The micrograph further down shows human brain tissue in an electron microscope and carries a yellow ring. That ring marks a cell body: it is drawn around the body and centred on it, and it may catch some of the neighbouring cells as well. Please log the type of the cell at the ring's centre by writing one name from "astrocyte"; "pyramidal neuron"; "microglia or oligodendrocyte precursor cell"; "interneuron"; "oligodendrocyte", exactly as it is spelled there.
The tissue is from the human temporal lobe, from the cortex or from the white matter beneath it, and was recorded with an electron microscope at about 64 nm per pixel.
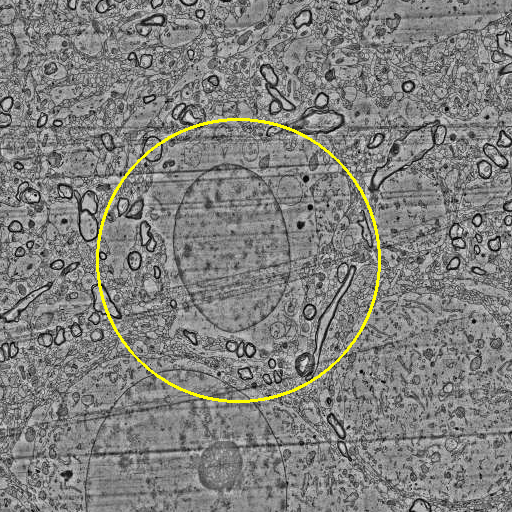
astrocyte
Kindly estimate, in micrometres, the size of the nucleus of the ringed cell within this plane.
Roughly 11 micrometres by 7 micrometres, in this plane.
